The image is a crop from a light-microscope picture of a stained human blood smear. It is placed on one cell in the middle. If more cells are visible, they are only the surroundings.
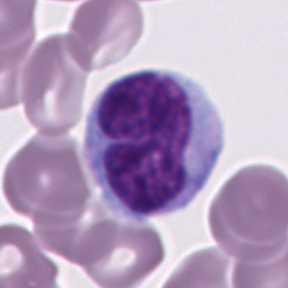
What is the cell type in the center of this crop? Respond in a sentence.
The cell at the heart of this crop is a monocyte.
